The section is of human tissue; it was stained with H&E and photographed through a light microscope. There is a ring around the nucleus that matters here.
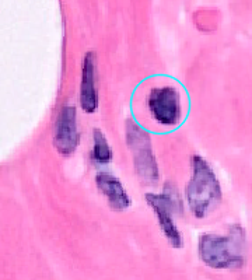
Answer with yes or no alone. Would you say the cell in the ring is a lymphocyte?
yes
